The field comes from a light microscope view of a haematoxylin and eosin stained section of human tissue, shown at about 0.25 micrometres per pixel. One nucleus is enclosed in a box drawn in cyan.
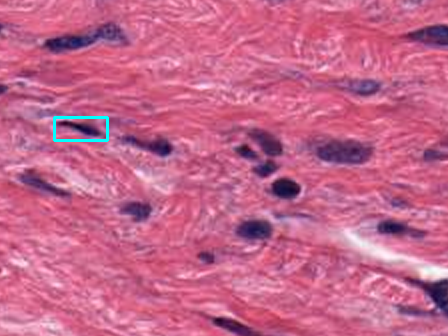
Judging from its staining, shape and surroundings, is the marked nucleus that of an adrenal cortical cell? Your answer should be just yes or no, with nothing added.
no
